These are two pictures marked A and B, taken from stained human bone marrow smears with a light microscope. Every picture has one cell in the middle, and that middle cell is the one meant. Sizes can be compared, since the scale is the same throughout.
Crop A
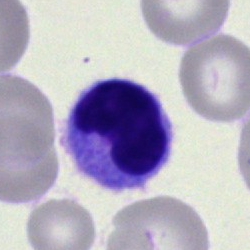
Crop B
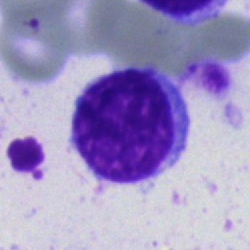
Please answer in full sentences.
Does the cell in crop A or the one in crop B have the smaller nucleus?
It is the nucleus in crop A; the one in crop B has about 1.5 times its area.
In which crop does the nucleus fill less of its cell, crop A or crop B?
In crop A the nucleus takes up the smaller part of its cell.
